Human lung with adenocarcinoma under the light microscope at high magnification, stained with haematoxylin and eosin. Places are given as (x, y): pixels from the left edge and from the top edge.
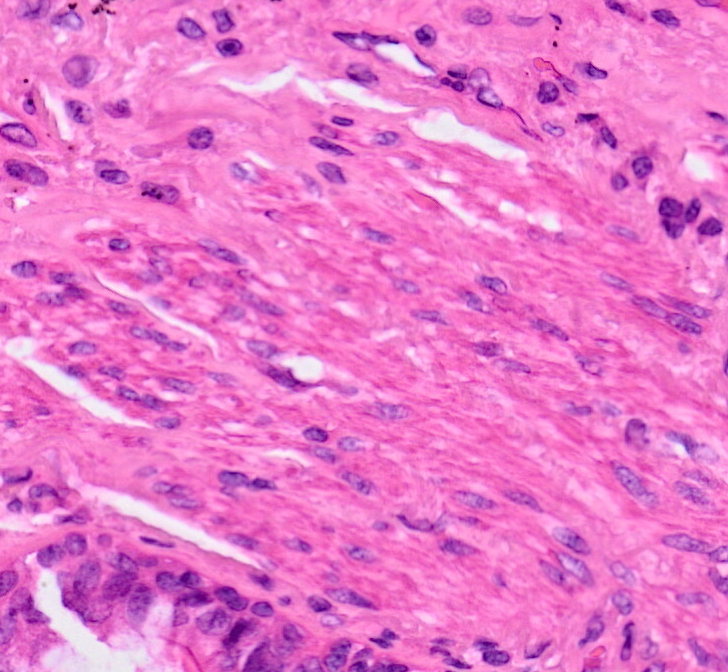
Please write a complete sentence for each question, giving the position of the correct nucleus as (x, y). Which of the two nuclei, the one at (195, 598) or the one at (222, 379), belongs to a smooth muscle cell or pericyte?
So, of the two, the nucleus at (222, 379) is the one belonging to a smooth muscle cell or pericyte.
